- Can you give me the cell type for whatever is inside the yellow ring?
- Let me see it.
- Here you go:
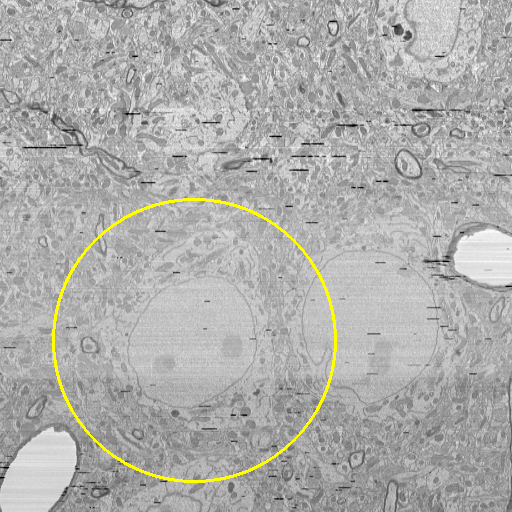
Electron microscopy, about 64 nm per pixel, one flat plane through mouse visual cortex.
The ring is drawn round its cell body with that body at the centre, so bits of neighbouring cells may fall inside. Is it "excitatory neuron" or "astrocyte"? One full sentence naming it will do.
The cell body in the middle of the ring in this picture belongs to an excitatory neuron.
